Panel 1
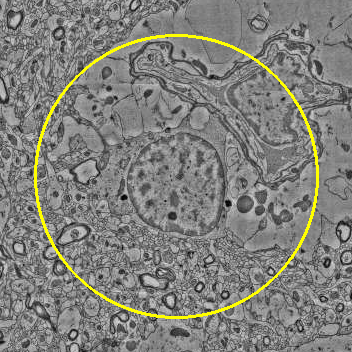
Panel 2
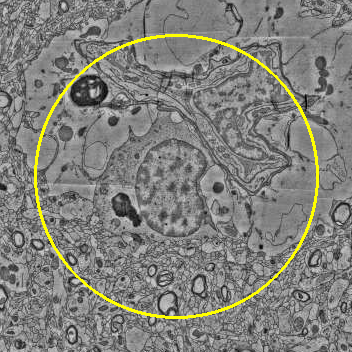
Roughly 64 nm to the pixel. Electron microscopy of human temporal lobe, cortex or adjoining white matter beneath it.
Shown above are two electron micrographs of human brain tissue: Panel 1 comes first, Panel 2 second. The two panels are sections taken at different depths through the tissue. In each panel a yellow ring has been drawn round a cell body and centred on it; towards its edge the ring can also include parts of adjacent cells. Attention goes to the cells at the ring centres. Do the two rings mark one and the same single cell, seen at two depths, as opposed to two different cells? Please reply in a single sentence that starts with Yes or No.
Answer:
Yes, the two rings belong to one cell, not to two.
